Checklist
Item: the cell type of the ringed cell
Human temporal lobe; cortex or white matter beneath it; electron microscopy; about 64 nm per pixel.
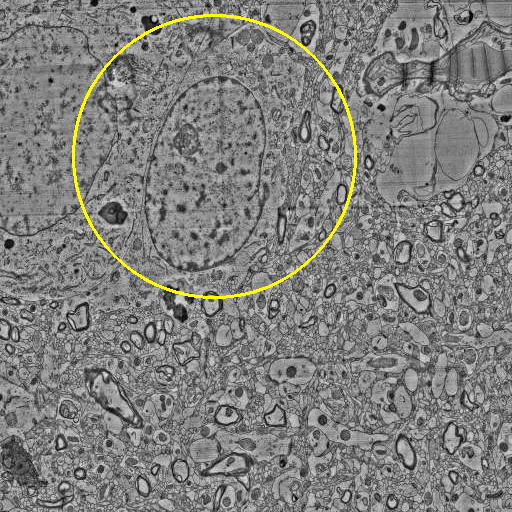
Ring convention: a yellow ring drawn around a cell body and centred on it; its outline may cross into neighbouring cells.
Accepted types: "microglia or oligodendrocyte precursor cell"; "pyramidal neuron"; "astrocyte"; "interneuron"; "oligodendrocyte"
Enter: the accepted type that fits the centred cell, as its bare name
microglia or oligodendrocyte precursor cell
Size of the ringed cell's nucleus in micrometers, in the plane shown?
Approximately 13 by 8 micrometers, which makes the nucleus clearly longer than it is wide in this plane.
